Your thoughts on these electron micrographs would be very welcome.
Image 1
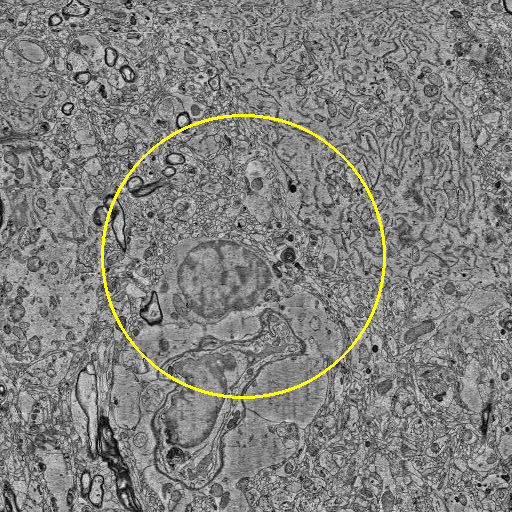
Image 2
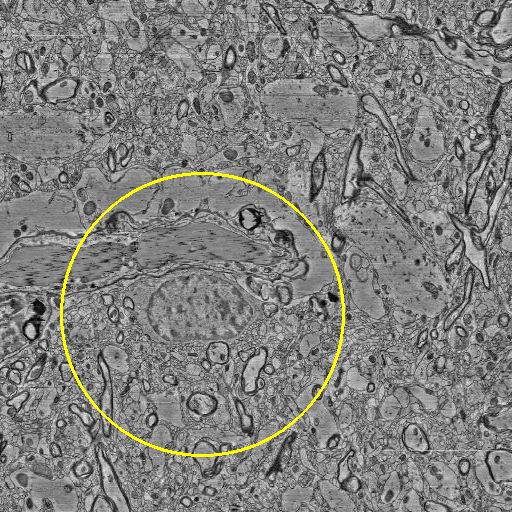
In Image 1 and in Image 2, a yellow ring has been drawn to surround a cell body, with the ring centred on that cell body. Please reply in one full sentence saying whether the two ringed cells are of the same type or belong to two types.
The ringed cells in Image 1 and Image 2 are of the same type.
